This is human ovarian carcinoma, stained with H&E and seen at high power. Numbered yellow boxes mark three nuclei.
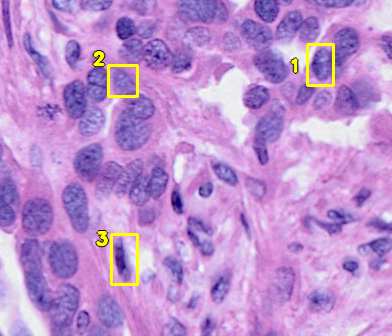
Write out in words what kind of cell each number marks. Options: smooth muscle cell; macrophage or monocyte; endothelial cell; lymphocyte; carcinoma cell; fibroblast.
Cells 1 and 2 are carcinoma cells. Cell 3 is a fibroblast.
